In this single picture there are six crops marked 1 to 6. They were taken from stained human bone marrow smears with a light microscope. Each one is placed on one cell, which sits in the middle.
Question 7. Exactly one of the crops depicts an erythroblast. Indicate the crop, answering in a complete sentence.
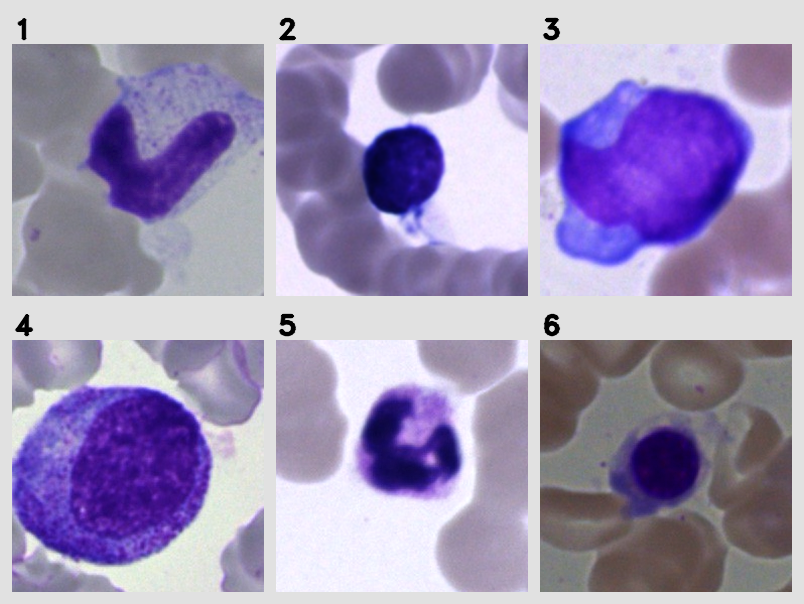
The correct choice is crop 6, the one showing an erythroblast.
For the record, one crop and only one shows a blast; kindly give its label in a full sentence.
The crop marked 3 is the one in which a blast is shown.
